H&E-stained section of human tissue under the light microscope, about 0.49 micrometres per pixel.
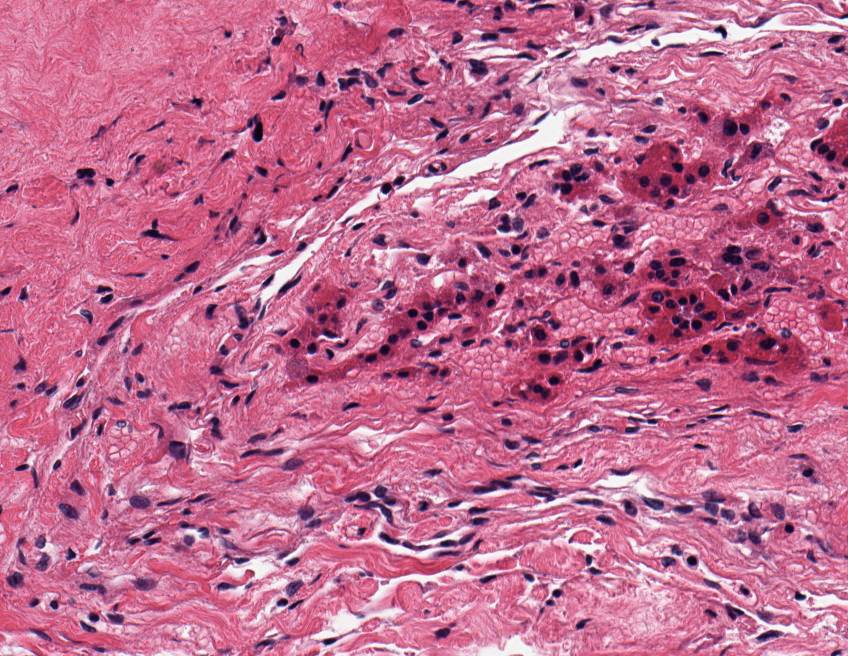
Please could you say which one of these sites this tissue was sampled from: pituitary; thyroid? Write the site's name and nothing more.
pituitary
